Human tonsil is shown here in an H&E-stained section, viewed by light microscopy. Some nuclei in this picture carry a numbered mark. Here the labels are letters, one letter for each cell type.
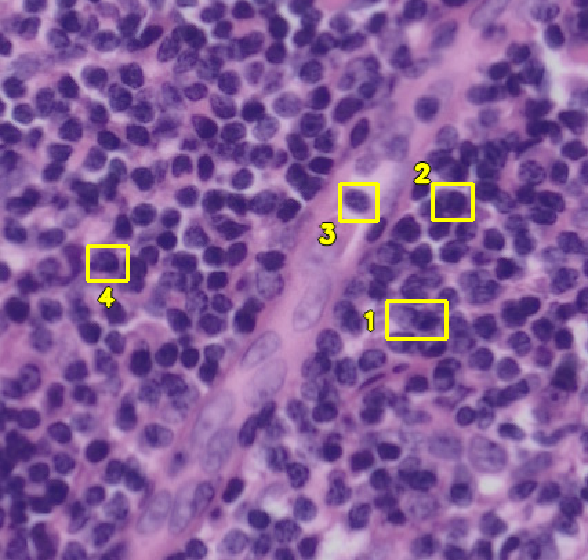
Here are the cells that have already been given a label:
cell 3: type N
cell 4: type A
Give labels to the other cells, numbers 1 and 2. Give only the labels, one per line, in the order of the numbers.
type A
type A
